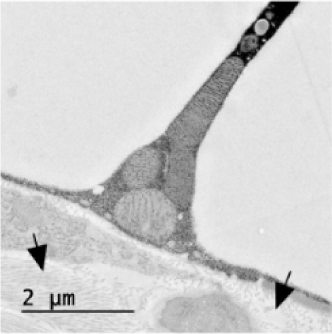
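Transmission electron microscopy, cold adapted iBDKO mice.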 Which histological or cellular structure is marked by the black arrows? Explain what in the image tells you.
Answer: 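The arrows point at a band of finely fibrillar, grey extracellular material. The material lies outside the cells, below a thin cytoplasmic rim bordering a large pale droplet. That points to this answer: collagen depositions.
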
